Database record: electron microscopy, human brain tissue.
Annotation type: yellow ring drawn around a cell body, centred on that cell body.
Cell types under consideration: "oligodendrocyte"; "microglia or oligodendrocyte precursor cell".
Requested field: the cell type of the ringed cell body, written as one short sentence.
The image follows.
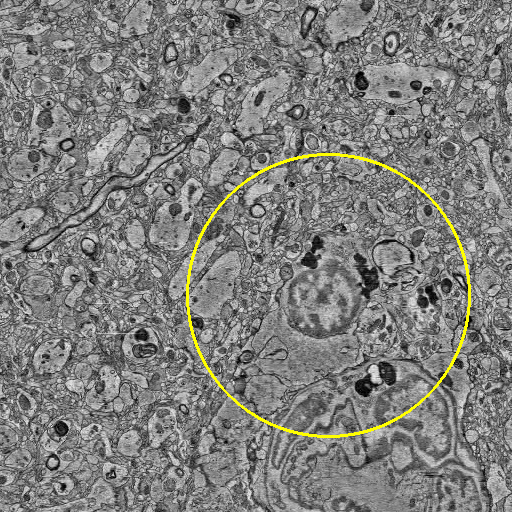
The ringed cell body represents an oligodendrocyte.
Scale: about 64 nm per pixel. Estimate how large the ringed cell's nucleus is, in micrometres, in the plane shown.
Roughly 5 micrometres across for the nucleus, in this plane.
